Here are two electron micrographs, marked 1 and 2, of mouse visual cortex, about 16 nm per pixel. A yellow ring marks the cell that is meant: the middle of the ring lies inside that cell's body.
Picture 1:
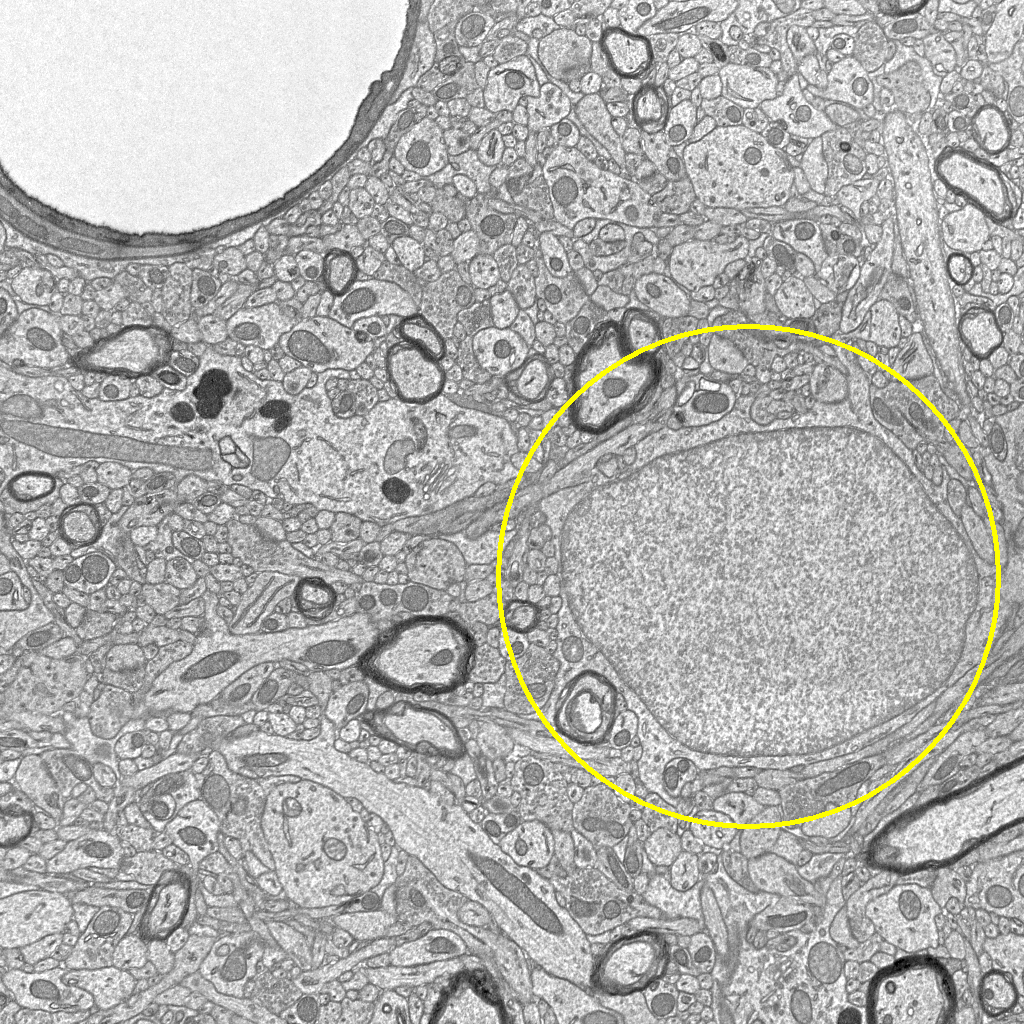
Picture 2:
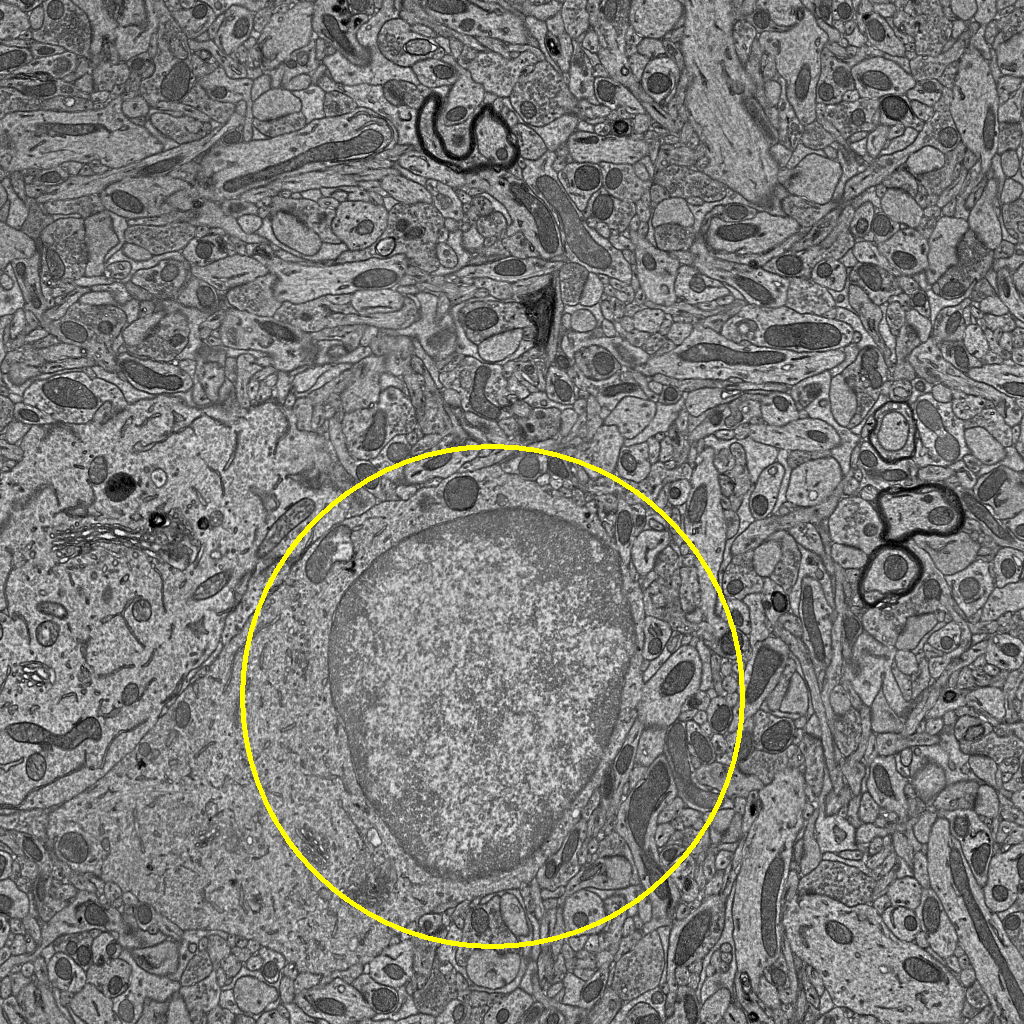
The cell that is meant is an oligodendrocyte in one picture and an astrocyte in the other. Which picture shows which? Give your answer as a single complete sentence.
The cell in picture 1 is an astrocyte, and the one in picture 2 is an oligodendrocyte.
